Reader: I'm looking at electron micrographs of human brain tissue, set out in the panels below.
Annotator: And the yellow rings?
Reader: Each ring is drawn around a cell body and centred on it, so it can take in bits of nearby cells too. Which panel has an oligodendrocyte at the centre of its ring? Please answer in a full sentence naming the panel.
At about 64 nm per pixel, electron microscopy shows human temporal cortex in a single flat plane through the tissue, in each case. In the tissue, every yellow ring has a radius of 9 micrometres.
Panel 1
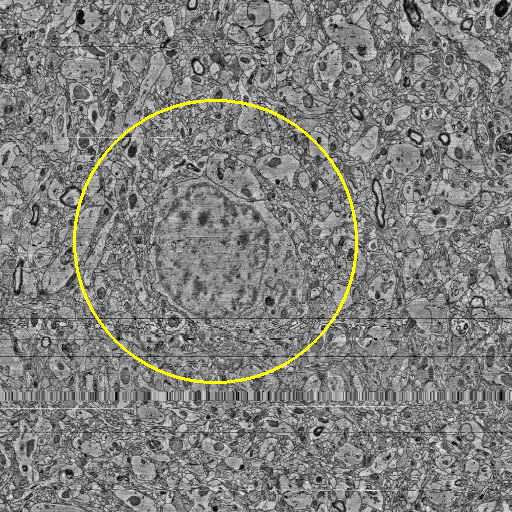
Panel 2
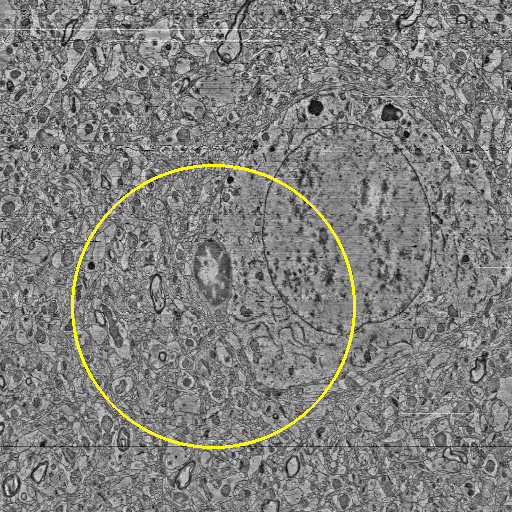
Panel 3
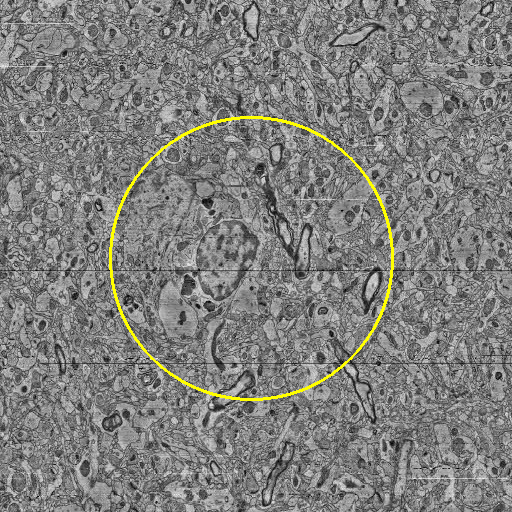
Panel 2 has it at the centre of its ring.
